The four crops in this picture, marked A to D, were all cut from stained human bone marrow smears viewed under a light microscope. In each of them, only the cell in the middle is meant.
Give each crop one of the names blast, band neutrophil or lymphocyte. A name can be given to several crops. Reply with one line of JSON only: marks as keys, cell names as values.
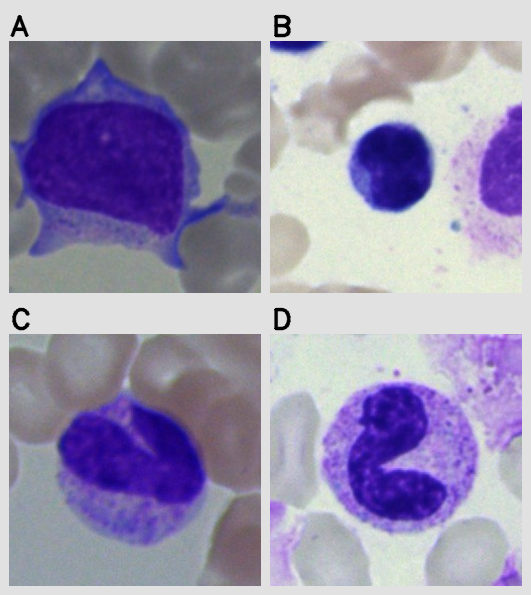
{"A": "blast", "B": "lymphocyte", "C": "band neutrophil", "D": "band neutrophil"}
